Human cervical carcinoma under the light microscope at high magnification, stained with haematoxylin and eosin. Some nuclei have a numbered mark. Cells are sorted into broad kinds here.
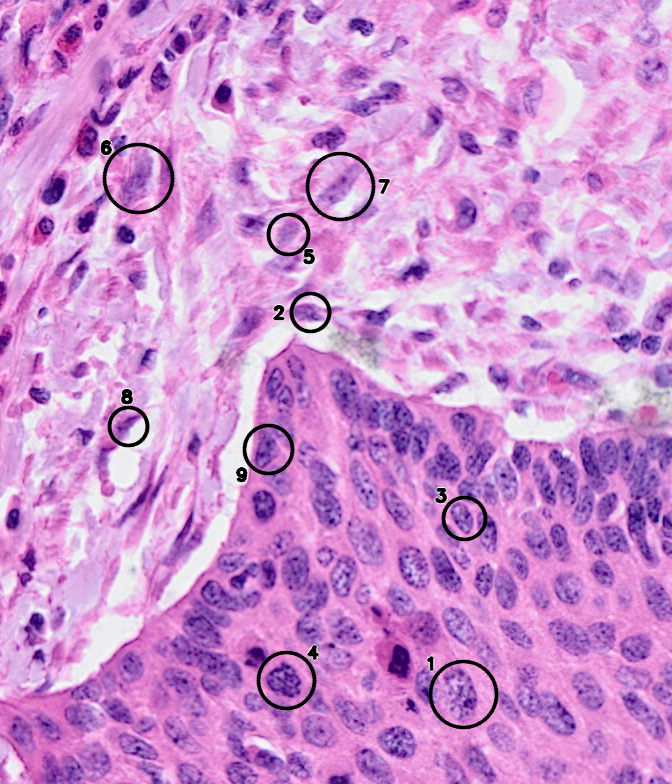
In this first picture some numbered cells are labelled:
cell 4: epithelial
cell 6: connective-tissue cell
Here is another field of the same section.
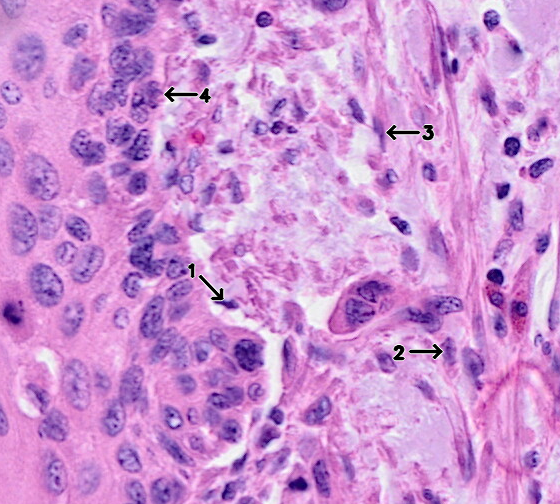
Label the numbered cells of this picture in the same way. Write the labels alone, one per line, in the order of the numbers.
connective-tissue cell
connective-tissue cell
connective-tissue cell
epithelial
